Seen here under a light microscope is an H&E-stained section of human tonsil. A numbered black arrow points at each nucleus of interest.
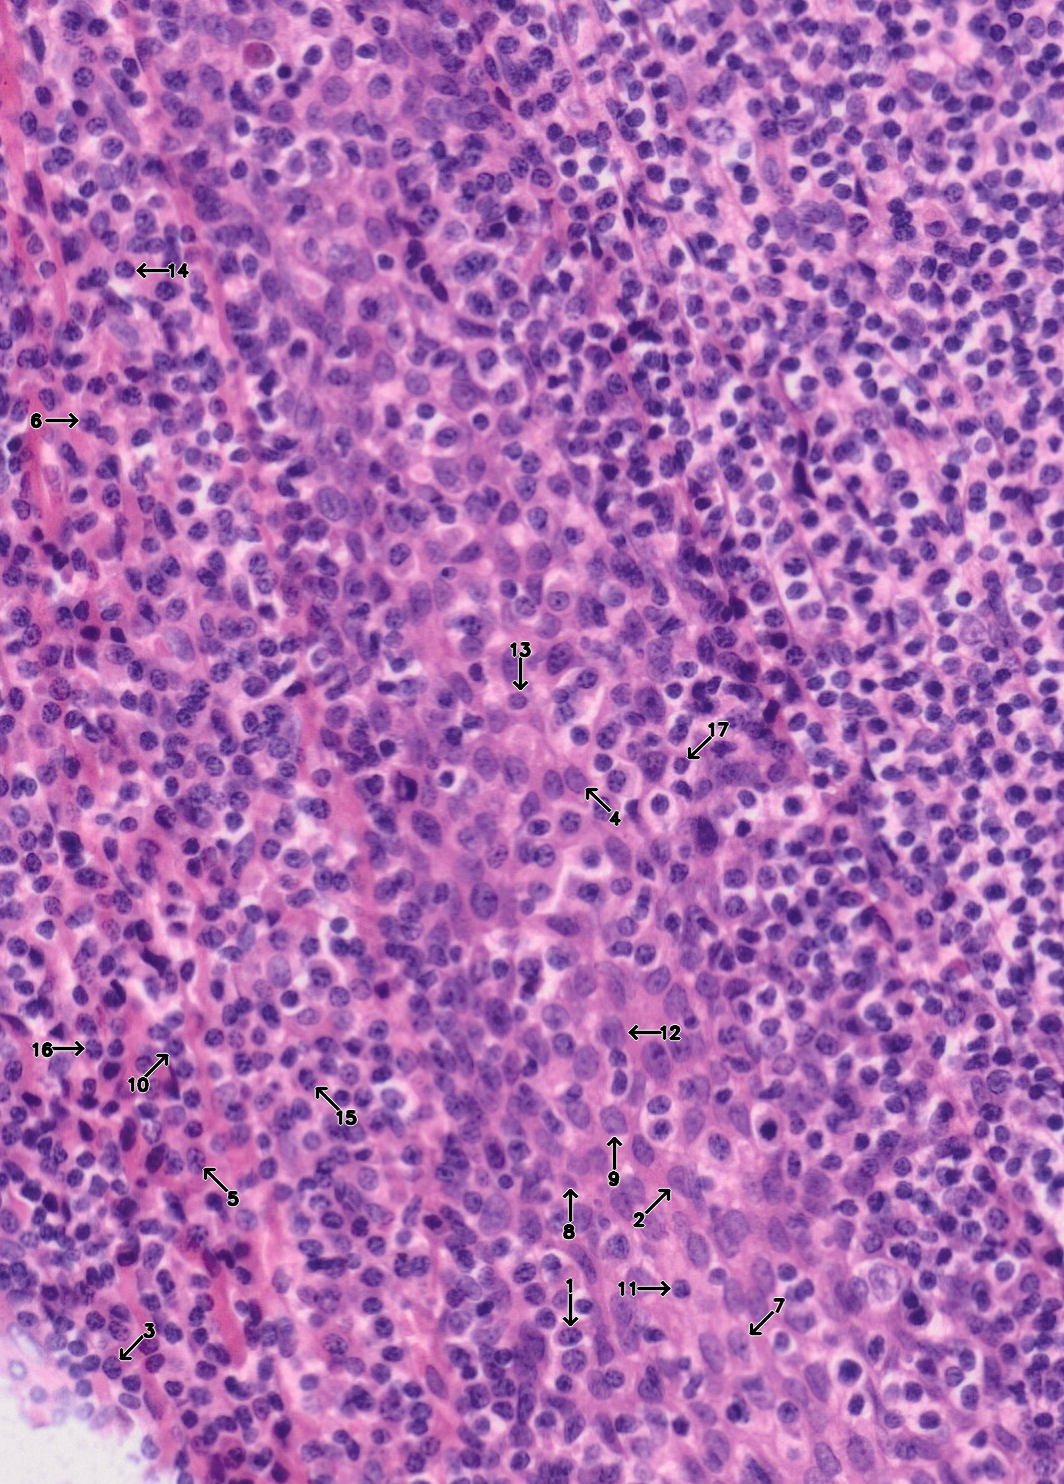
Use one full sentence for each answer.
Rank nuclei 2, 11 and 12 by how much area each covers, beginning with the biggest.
The nuclei rank 12, 2, 11, from largest to smallest.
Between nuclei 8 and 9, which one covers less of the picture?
Nucleus 8 is the smaller one; nucleus 9 covers about 3 times its area.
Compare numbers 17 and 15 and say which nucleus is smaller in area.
The smaller nucleus is 17, and 15 covers roughly 1.5 times its area.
